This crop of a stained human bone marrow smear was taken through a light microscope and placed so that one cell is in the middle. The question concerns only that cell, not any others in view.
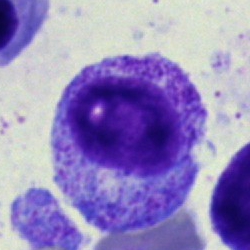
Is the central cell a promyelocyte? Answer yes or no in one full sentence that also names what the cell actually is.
No, the central cell is not a promyelocyte, being instead a myelocyte.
